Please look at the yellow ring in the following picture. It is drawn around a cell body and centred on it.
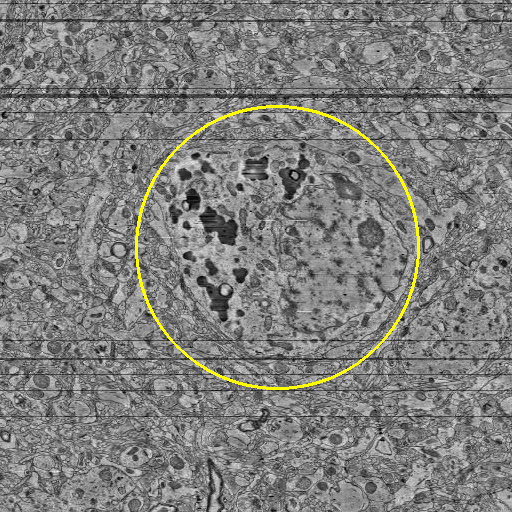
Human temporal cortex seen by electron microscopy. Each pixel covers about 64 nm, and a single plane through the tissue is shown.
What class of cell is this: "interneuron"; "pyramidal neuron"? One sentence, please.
The ring surrounds the cell body of an interneuron.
